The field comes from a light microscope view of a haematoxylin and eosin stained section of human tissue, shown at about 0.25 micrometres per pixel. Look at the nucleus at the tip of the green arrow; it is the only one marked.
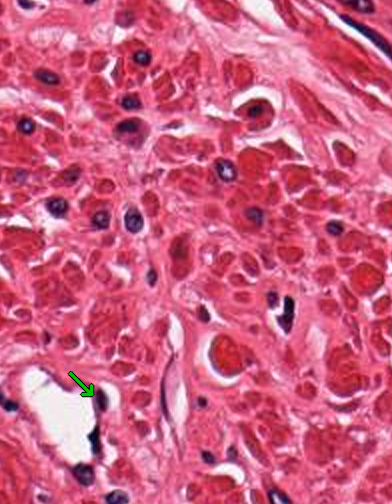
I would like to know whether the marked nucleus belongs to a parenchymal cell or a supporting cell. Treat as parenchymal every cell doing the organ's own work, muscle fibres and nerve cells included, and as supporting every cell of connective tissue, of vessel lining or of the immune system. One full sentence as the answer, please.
A supporting cell is what the marked nucleus belongs to.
